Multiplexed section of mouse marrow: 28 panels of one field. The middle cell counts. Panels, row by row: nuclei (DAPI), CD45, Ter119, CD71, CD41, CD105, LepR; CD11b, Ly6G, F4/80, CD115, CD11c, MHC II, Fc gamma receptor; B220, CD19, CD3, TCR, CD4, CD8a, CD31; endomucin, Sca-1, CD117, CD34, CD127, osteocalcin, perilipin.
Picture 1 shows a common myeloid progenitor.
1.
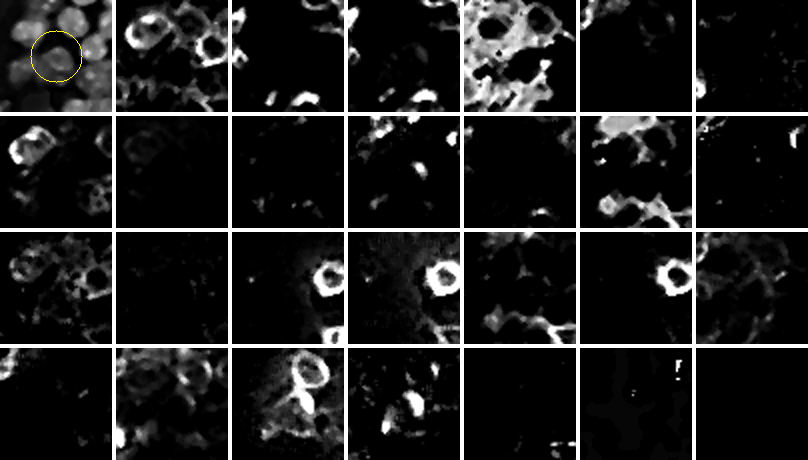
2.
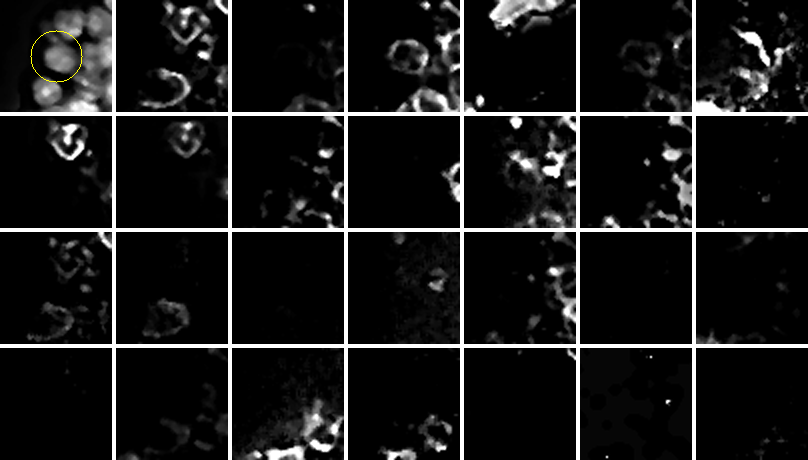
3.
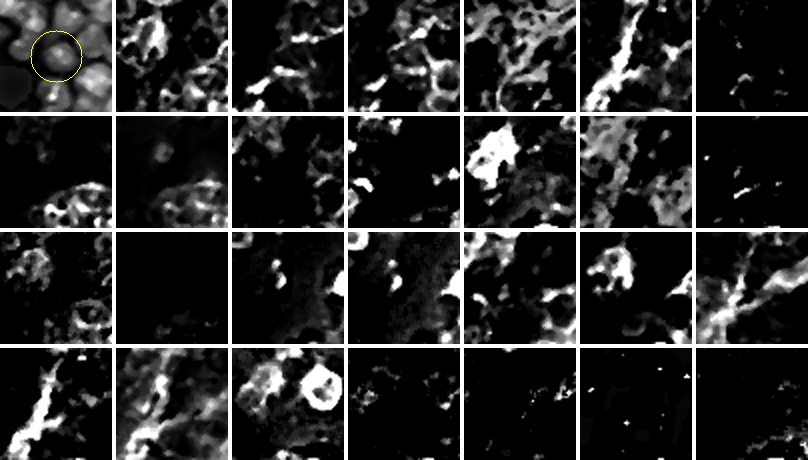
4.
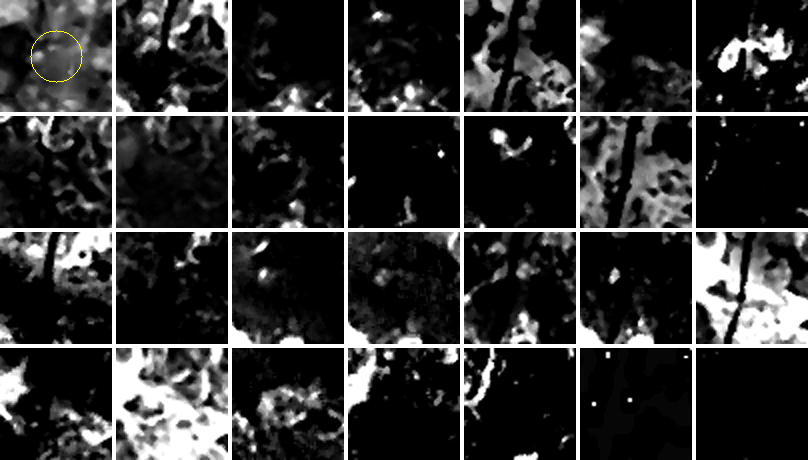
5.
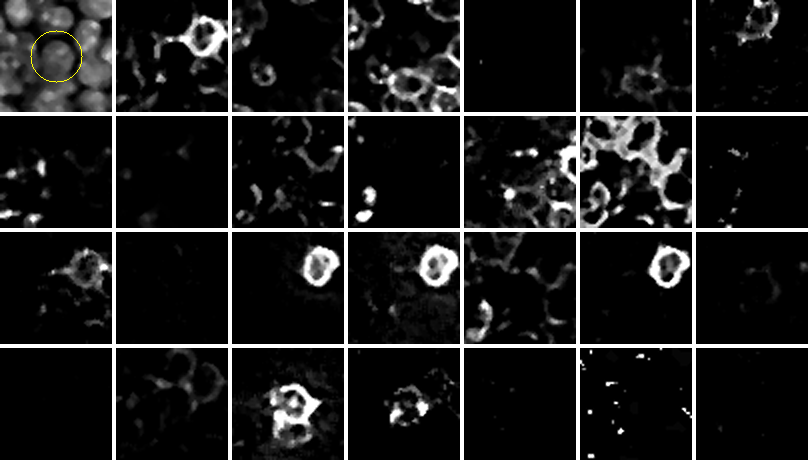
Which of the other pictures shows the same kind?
Picture 5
